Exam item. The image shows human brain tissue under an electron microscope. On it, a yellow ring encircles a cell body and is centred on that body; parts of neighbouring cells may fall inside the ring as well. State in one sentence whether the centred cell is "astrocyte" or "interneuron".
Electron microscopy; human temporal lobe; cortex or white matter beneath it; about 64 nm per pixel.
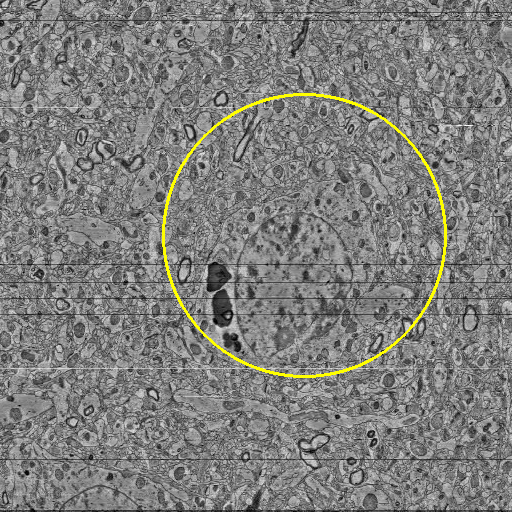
The cell body centred in the ring is an interneuron.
